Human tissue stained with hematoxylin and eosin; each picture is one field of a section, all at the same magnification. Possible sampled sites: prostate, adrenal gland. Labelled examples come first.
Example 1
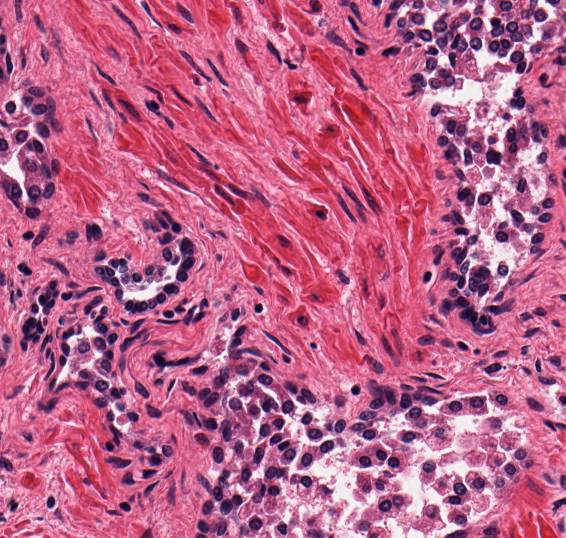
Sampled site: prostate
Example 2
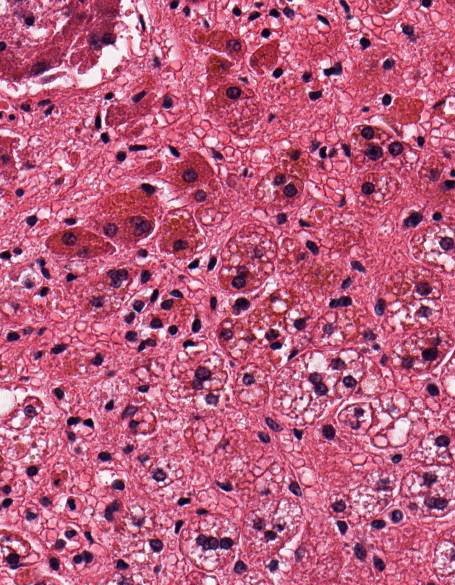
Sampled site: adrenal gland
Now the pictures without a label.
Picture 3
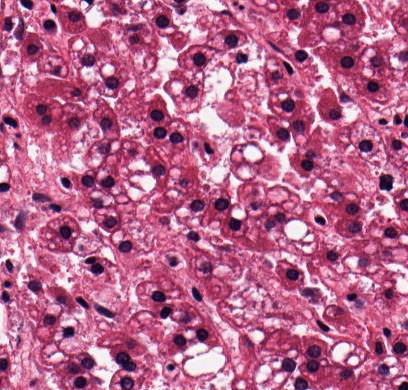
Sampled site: adrenal gland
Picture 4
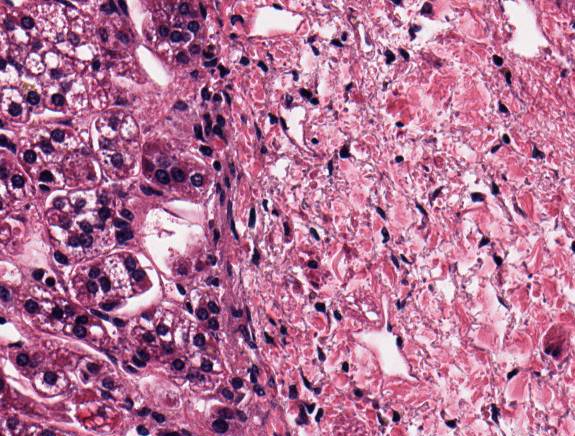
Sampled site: adrenal gland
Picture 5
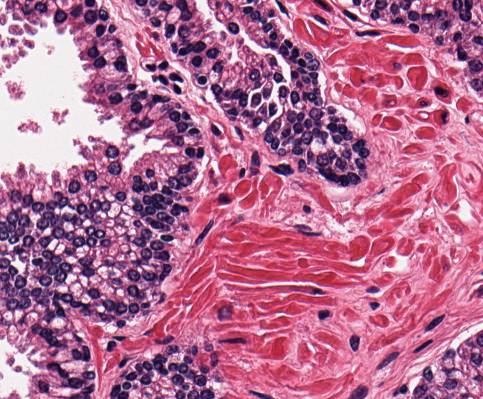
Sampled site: prostate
